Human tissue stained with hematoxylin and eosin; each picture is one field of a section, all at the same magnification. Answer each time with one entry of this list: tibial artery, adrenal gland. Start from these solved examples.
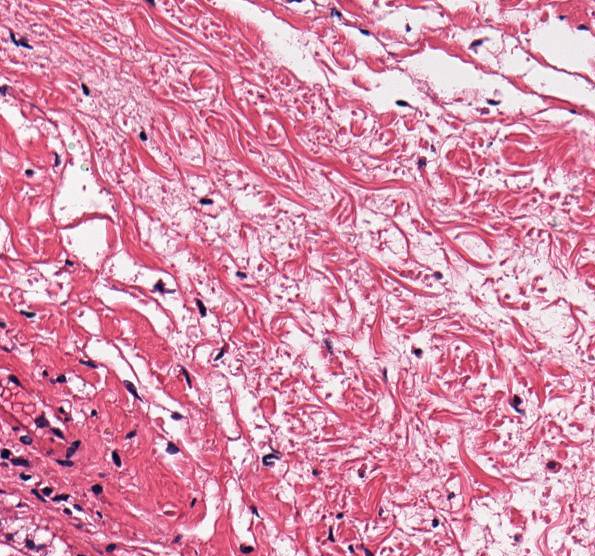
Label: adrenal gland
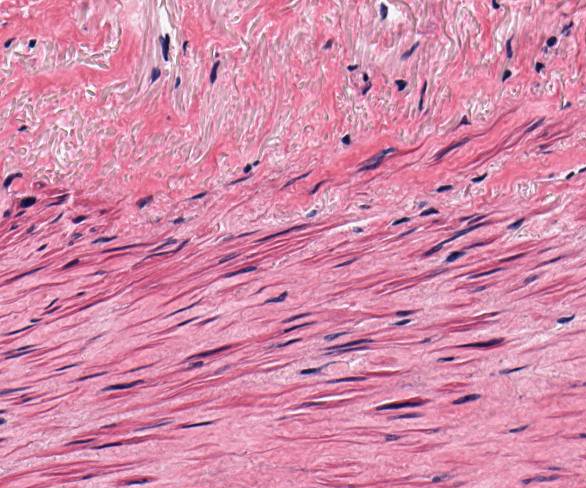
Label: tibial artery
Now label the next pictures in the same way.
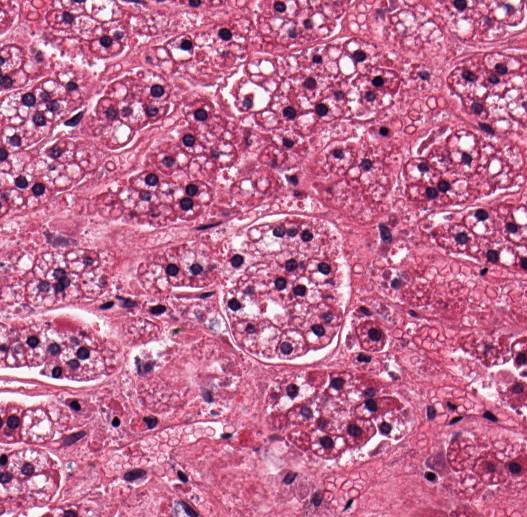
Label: adrenal gland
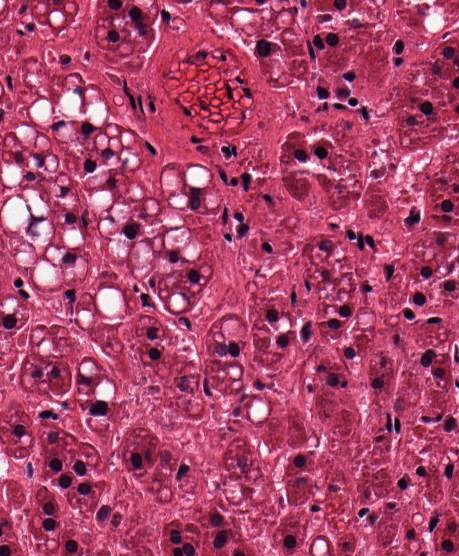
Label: adrenal gland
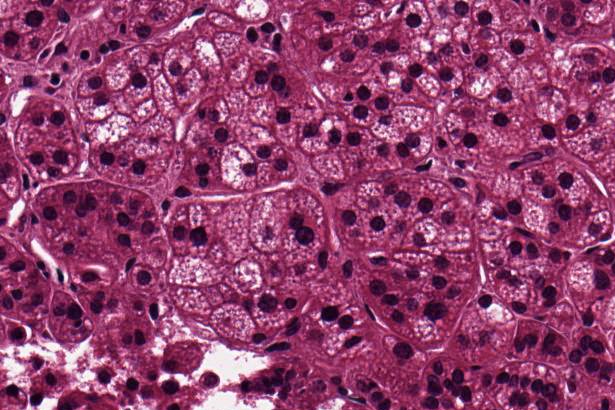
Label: adrenal gland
